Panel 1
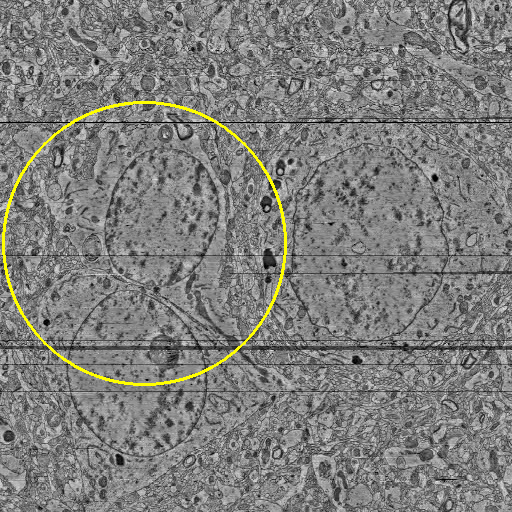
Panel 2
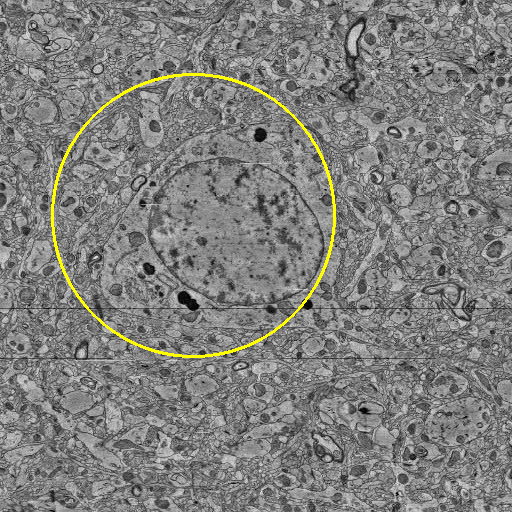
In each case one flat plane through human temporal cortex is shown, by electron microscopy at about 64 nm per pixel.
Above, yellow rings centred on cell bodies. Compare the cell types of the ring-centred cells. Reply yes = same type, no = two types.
no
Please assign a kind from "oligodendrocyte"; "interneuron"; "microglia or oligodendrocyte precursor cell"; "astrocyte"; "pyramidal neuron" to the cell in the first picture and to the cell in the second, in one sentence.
In the first picture we have an astrocyte, and in the second, a pyramidal neuron.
